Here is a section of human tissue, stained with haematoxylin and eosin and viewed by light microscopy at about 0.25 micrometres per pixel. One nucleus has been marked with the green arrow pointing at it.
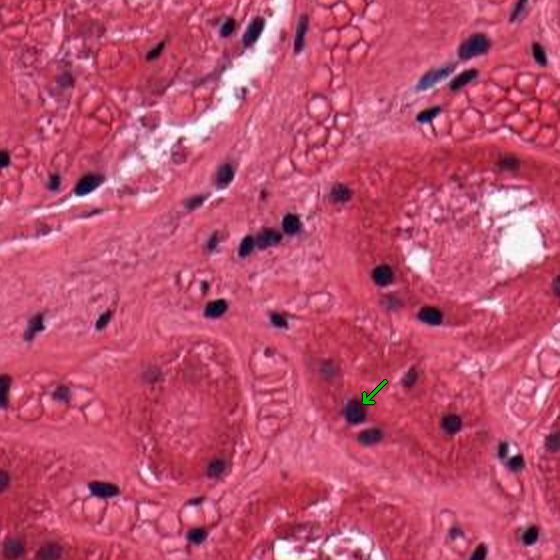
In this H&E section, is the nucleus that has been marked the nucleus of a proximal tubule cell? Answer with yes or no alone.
yes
